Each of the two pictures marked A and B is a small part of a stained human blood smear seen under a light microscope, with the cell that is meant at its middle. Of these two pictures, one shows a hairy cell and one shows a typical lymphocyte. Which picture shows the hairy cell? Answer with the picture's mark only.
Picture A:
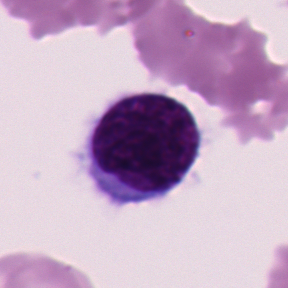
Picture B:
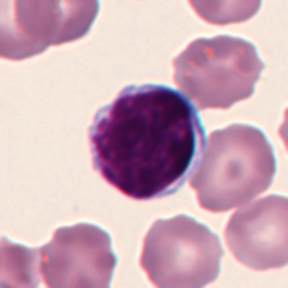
A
